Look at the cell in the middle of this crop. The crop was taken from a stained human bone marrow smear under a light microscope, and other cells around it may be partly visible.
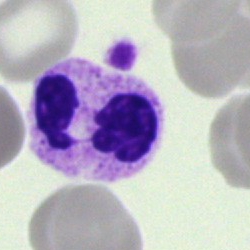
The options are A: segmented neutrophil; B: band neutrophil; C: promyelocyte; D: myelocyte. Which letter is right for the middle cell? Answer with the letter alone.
A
